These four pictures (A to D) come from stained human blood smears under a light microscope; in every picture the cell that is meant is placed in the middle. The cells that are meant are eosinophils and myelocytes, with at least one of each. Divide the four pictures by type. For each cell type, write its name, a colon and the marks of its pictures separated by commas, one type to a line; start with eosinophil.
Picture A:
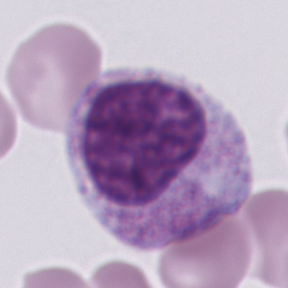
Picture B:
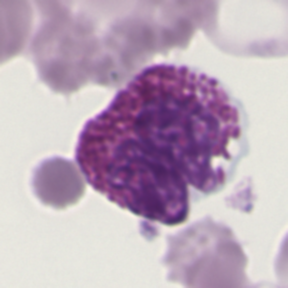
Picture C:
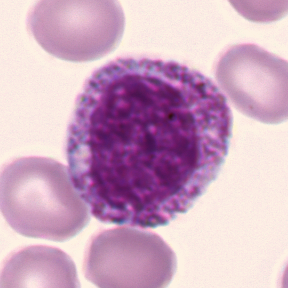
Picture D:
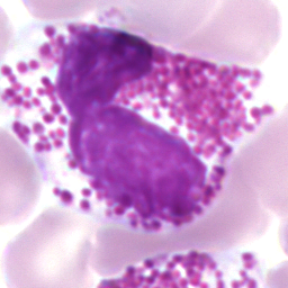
eosinophil: B, D
myelocyte: A, C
